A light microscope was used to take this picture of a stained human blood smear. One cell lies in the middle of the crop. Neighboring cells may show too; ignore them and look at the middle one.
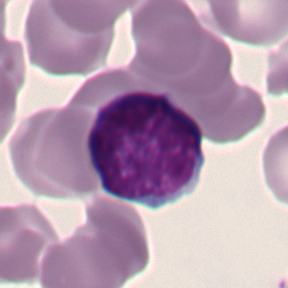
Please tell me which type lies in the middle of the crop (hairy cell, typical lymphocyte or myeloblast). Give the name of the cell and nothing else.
typical lymphocyte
